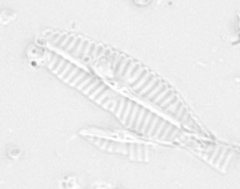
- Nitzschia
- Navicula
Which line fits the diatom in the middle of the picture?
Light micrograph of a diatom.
Navicula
